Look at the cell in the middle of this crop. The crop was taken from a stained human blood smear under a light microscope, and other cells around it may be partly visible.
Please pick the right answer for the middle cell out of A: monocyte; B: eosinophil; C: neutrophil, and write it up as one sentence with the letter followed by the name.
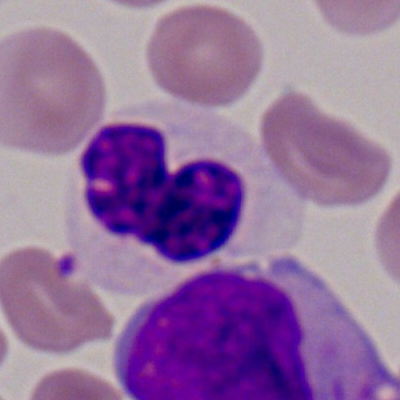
Option C is the right one, for the cell in the middle is a neutrophil.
